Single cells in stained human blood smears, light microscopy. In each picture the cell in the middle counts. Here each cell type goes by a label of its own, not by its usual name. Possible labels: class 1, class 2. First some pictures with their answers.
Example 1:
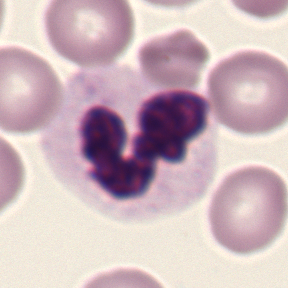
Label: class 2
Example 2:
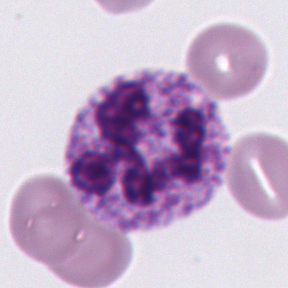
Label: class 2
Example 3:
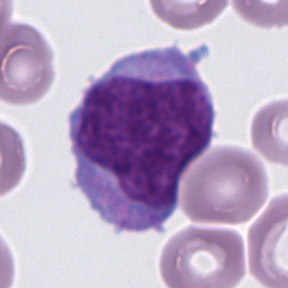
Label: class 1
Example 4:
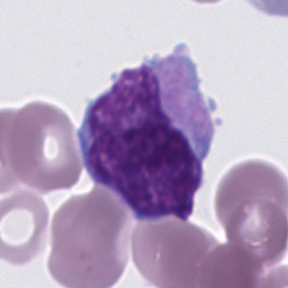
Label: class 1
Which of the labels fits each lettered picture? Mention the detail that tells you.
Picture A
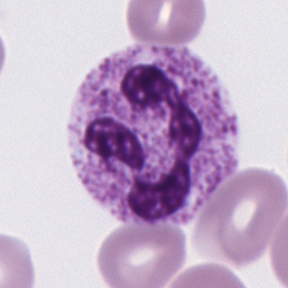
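class 2. Reason: The cytoplasm is plentiful and pale pinkish-lilac.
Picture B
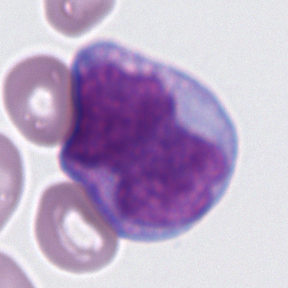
class 1. Reason: The nucleus fills most of the cell.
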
